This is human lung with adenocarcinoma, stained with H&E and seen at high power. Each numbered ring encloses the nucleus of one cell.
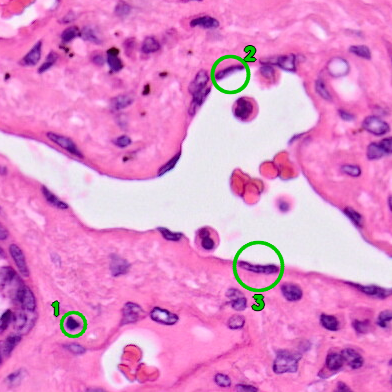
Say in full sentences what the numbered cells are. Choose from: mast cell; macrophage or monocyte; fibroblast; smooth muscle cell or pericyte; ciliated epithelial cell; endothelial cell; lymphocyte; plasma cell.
Cell 1 is a lymphocyte, cell 2 is an endothelial cell and cell 3 is an endothelial cell.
